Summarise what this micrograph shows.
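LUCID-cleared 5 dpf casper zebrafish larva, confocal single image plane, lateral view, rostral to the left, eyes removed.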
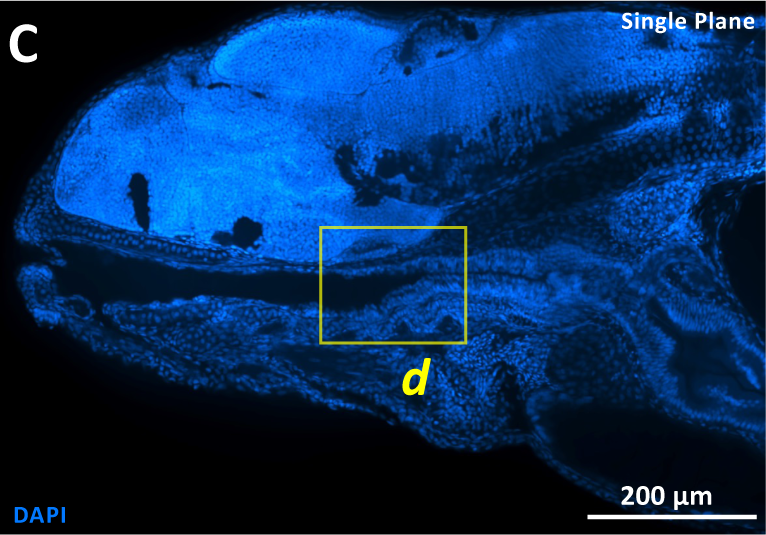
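The upper half is filled by brain tissue of densely packed small nuclei, interrupted by a few dark nucleus-free cavities. Beneath the brain, a thin dark horizontal lumen runs from the snout backward, lined by rows of nuclei. Below that the ventral head holds loosely packed nuclei and cartilage-like elements of the jaw and arches. Toward the right, the tissue shows folded and layered structures at the back of the head.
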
